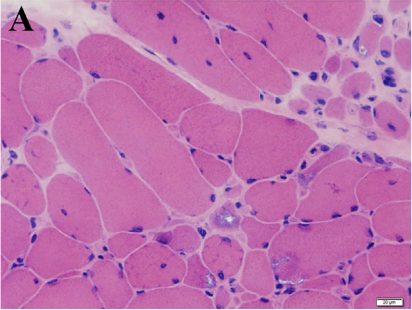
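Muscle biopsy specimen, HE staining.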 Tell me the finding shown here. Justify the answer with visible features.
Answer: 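Muscle fibers in cross-section range from small rounded ones to very large elongated ones. Small fibers cluster beside much larger fibers. The answer: variation in fiber size.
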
